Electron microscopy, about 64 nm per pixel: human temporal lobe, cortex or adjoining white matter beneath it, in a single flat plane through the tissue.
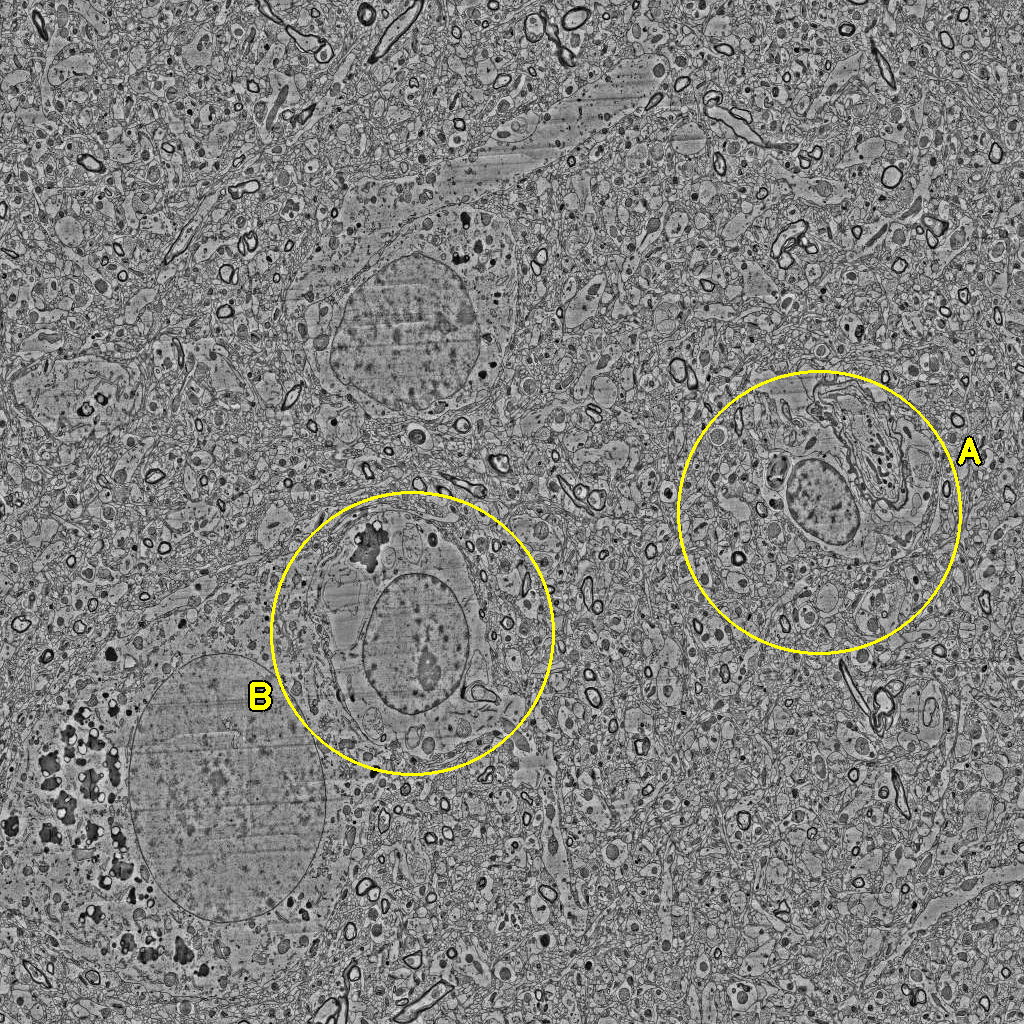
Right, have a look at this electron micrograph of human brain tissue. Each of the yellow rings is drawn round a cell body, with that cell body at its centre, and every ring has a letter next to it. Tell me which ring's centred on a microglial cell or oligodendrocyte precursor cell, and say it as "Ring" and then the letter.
Ring A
